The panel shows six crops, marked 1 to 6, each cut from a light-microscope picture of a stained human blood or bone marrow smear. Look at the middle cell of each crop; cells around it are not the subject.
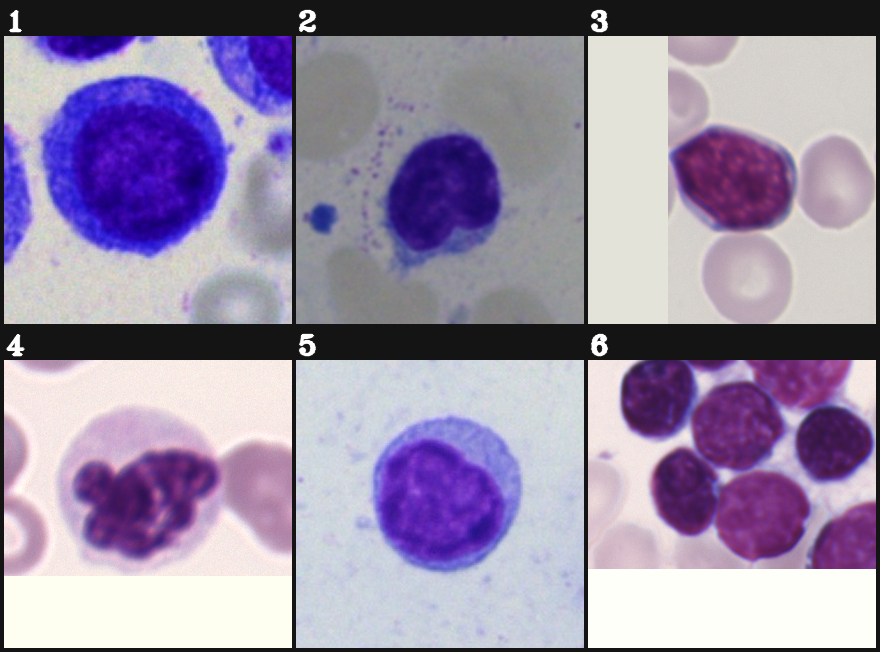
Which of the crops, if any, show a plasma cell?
none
